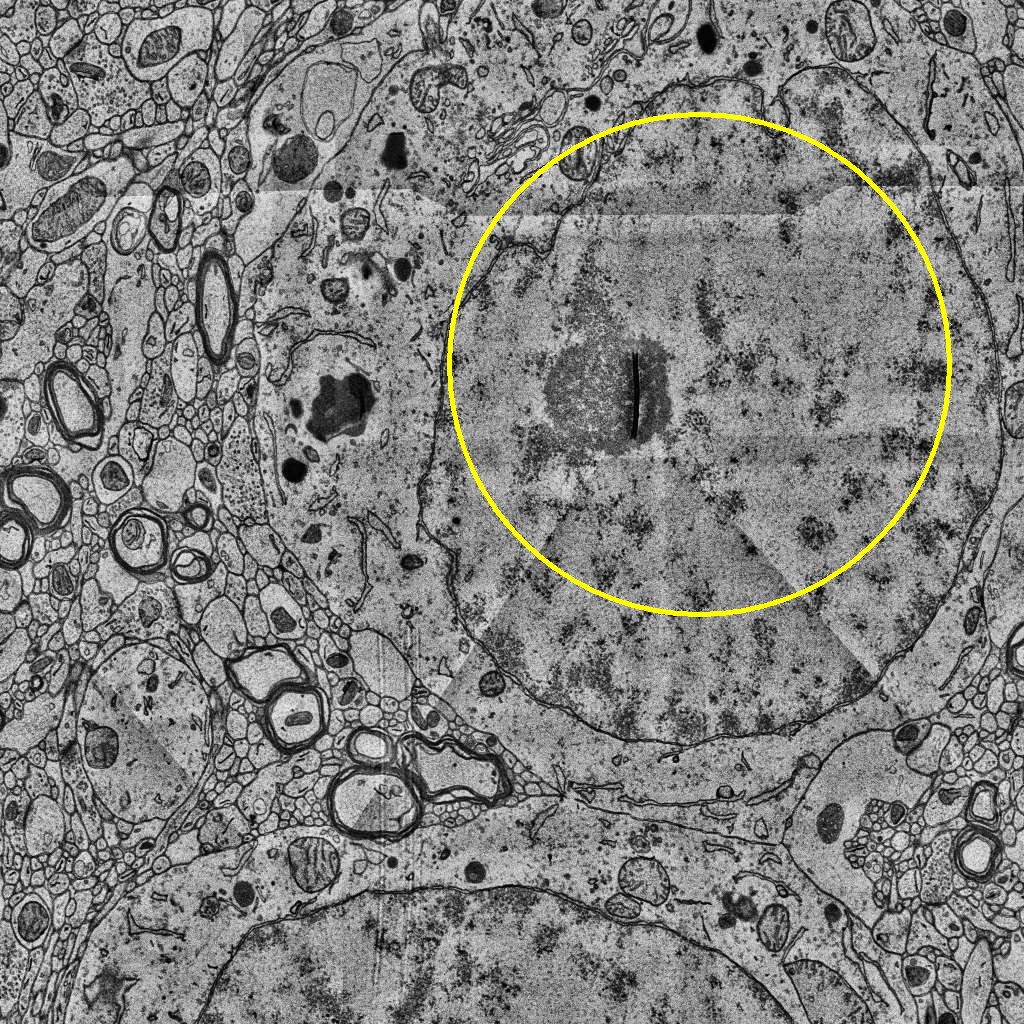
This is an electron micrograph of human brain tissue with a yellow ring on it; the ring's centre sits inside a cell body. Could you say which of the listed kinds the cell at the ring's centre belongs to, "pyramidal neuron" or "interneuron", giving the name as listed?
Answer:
pyramidal neuron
